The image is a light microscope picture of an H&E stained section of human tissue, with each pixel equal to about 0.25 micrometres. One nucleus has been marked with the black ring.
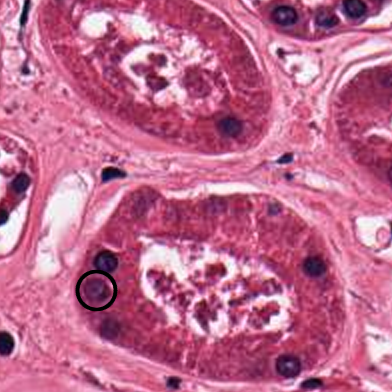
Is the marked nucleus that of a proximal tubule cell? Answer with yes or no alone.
yes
